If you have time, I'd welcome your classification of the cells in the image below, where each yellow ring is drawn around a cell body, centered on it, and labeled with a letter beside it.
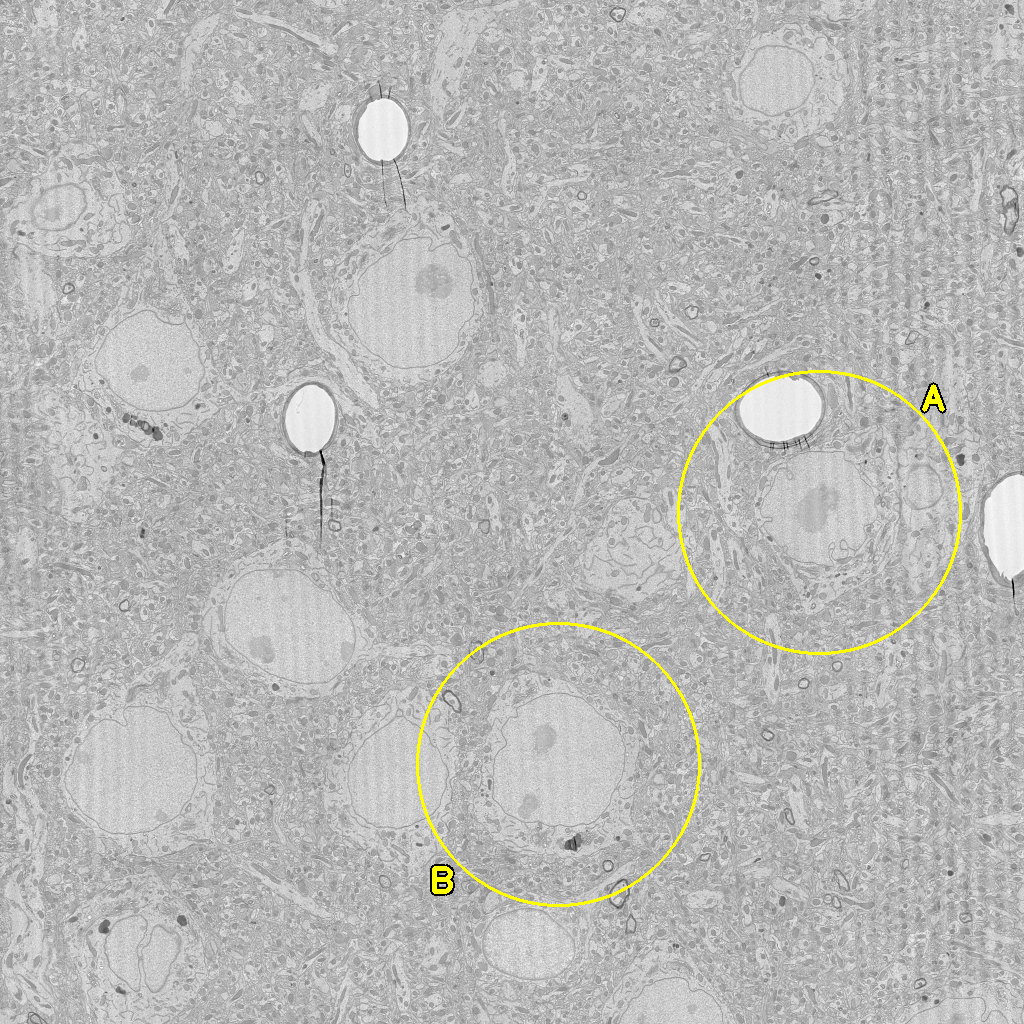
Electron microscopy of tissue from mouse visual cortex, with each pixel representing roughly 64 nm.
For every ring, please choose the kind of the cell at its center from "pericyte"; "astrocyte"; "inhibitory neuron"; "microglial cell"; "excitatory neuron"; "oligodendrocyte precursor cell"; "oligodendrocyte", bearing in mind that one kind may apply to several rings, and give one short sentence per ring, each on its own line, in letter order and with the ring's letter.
At the center of ring A is an inhibitory neuron.
At the center of ring B is an excitatory neuron.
